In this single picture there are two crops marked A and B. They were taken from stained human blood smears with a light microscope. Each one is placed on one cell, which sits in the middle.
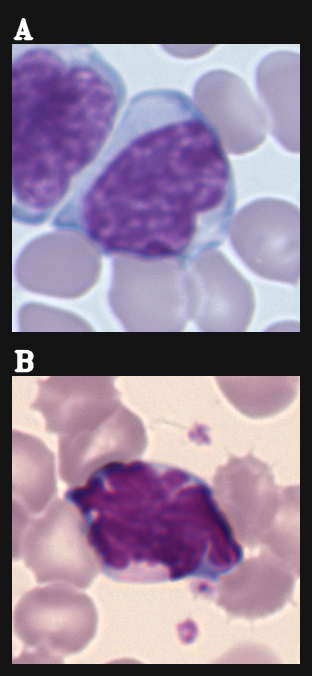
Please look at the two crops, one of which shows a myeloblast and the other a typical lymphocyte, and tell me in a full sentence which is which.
What crop A shows is a myeloblast, and what crop B shows is a typical lymphocyte.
